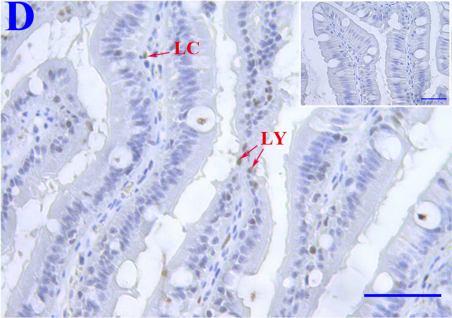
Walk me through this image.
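The section shows intestinal mucosal folds lined by a single layer of tall columnar epithelial cells. The epithelial nuclei are elongated and lie toward the base of the cells, stained blue. Scattered small cells with dark brown-stained nuclei lie within the epithelium and the thin core of the folds. Rounded clear vacuoles, some containing brown material, sit among the epithelial cells.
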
